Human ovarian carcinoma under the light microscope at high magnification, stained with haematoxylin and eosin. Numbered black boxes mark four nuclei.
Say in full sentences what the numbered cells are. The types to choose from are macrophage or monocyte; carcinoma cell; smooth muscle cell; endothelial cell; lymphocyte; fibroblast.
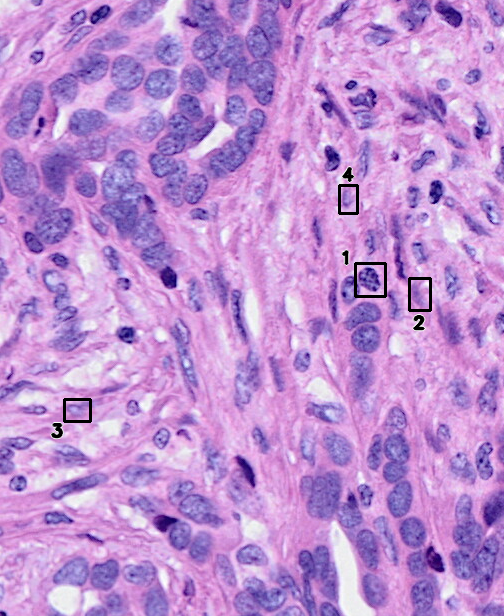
Cell 1 is a lymphocyte, cell 2 is a fibroblast, cell 3 is a fibroblast and cell 4 is a fibroblast.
